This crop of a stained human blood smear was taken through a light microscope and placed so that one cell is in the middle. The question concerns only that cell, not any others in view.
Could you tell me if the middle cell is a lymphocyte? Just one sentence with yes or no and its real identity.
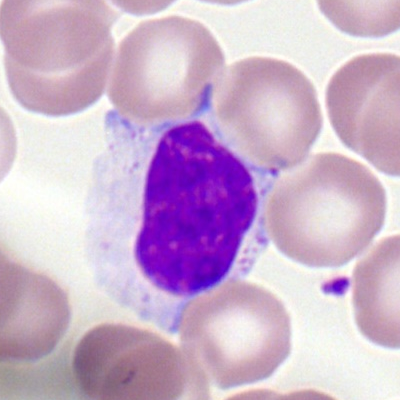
Yes, the crop is centred on a lymphocyte.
